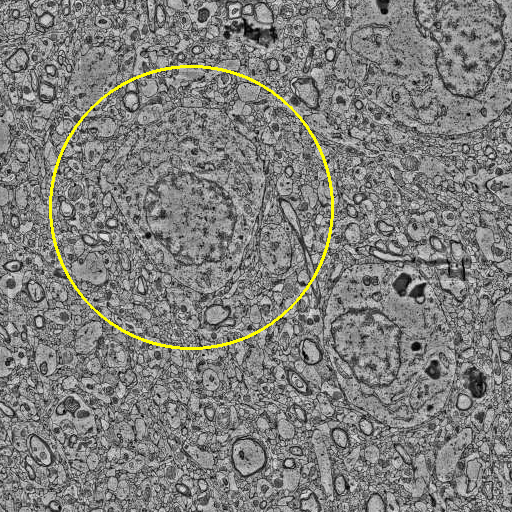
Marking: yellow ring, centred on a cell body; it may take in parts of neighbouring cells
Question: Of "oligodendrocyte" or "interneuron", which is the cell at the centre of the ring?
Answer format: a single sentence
The ring surrounds the body of an interneuron.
